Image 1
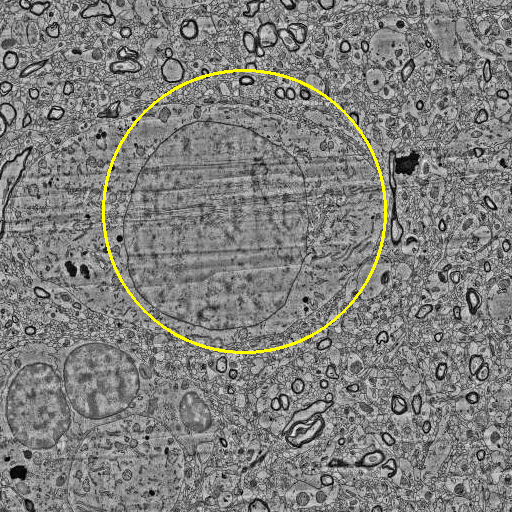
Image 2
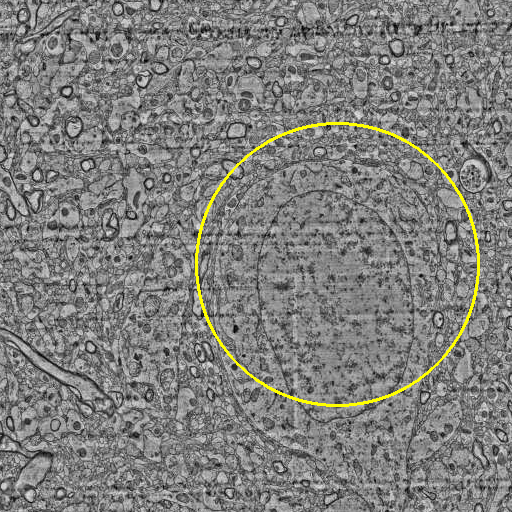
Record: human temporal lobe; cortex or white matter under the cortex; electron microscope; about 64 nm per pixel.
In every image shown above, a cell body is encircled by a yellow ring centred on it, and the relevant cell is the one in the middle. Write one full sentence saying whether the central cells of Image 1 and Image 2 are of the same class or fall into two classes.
The cell at the ring's centre in Image 1 and its counterpart in Image 2 are of the same class.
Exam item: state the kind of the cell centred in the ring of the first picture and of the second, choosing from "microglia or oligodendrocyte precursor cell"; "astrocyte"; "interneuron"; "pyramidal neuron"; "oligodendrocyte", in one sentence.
Both cells are the same kind, each one being a pyramidal neuron.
